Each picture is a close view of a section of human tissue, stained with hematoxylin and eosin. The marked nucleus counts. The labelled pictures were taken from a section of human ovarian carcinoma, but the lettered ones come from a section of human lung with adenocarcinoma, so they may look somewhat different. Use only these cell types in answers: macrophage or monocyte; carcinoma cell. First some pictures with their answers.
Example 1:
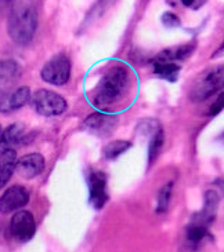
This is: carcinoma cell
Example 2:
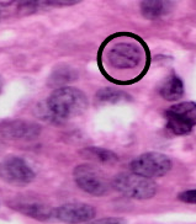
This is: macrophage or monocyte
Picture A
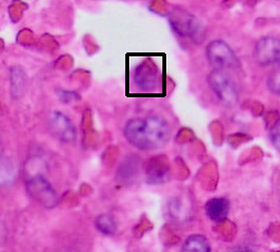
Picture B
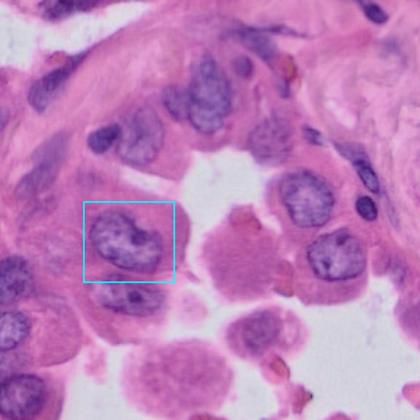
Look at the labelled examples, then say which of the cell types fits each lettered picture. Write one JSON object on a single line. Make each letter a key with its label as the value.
{"A": "macrophage or monocyte", "B": "carcinoma cell"}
